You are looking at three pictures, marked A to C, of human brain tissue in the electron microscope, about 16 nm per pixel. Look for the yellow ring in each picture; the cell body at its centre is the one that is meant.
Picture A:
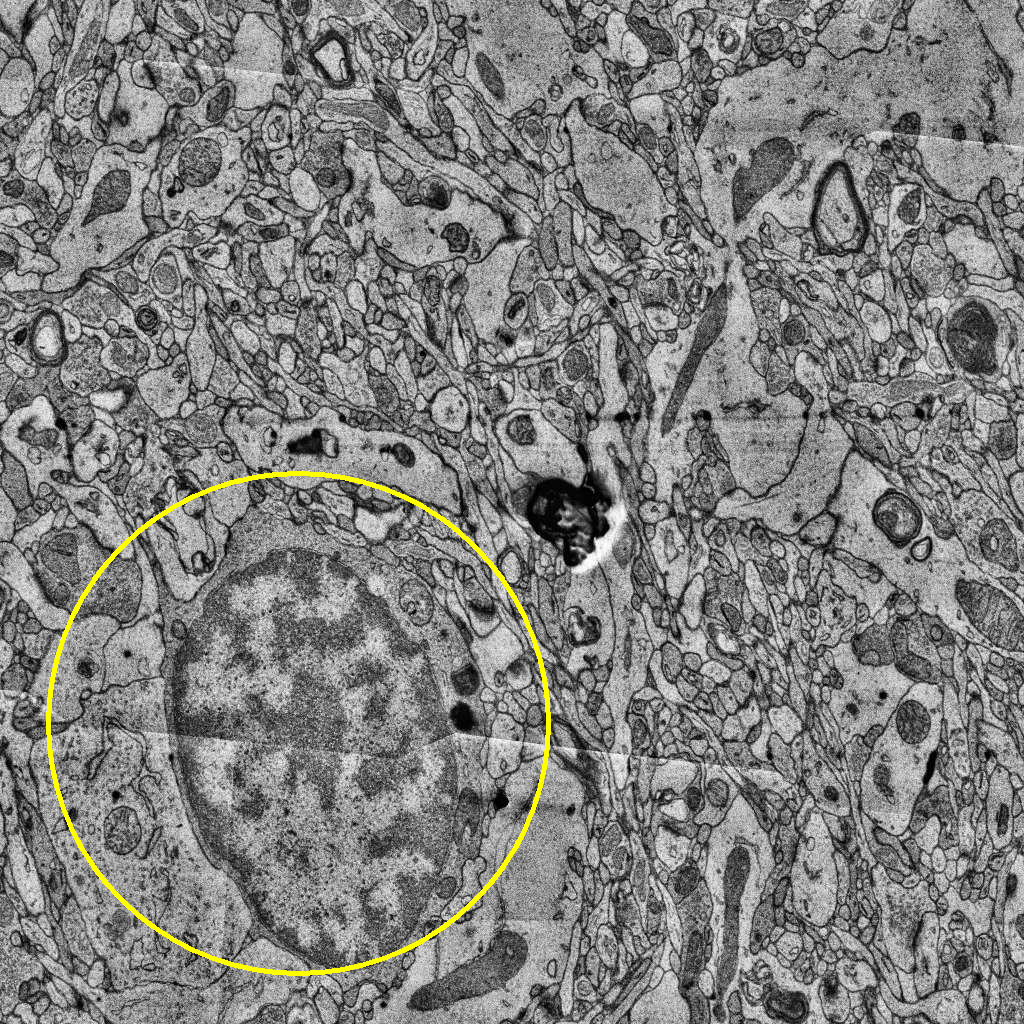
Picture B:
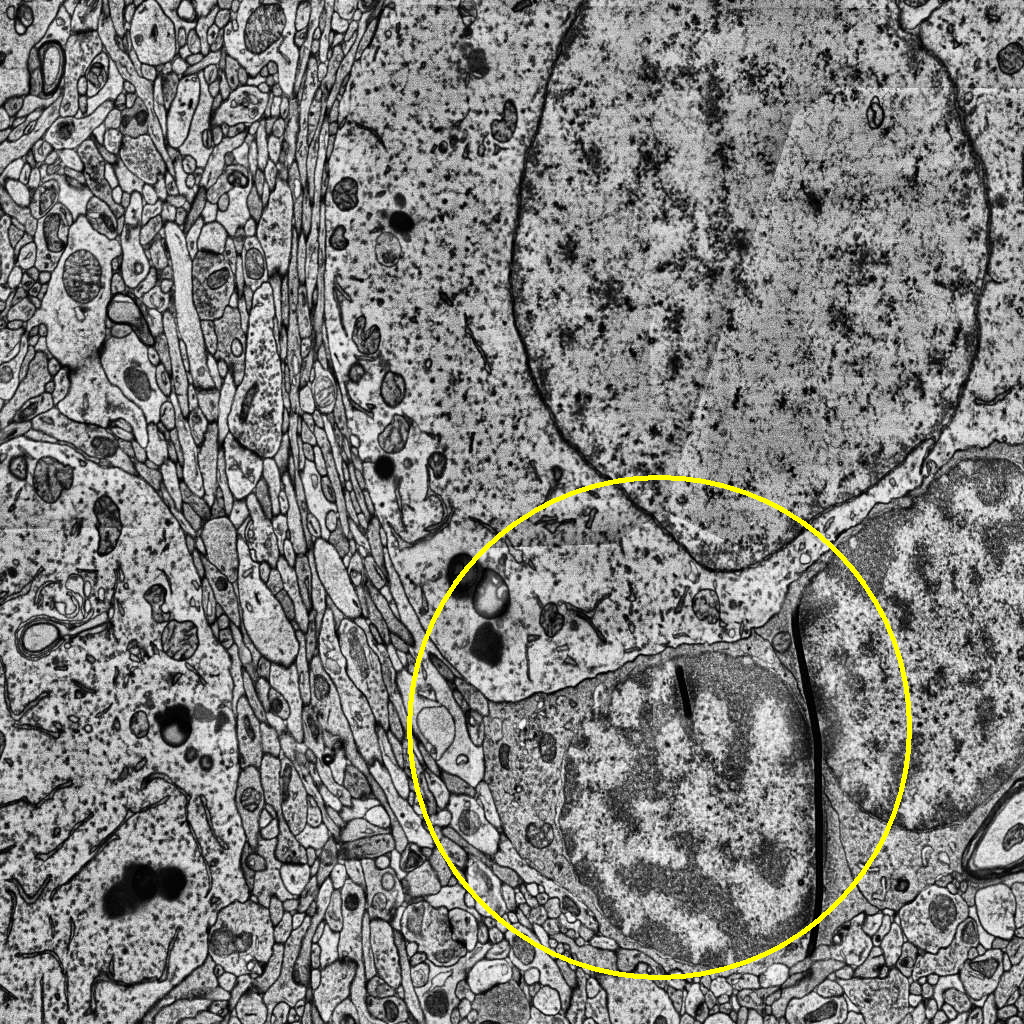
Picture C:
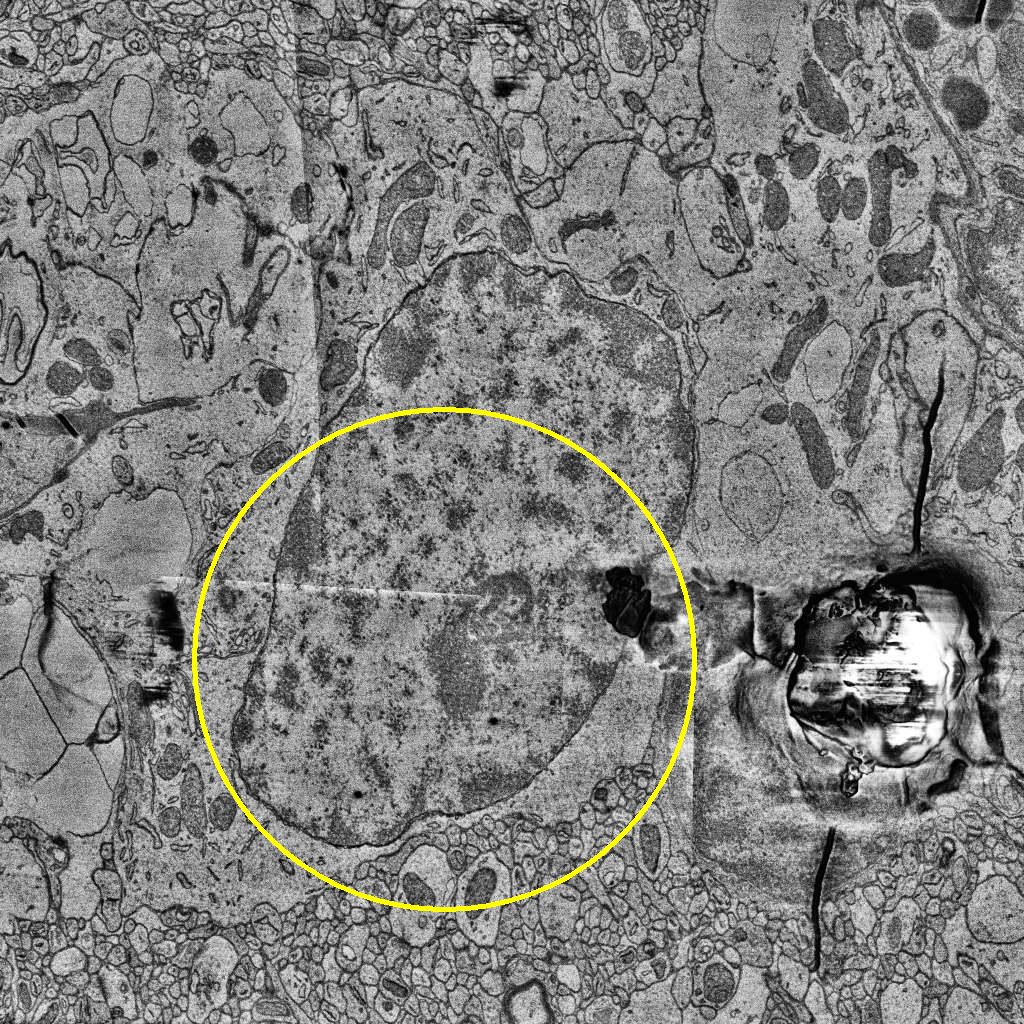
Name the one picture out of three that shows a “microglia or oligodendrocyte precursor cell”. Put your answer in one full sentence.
Picture C shows the “microglia or oligodendrocyte precursor cell”.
